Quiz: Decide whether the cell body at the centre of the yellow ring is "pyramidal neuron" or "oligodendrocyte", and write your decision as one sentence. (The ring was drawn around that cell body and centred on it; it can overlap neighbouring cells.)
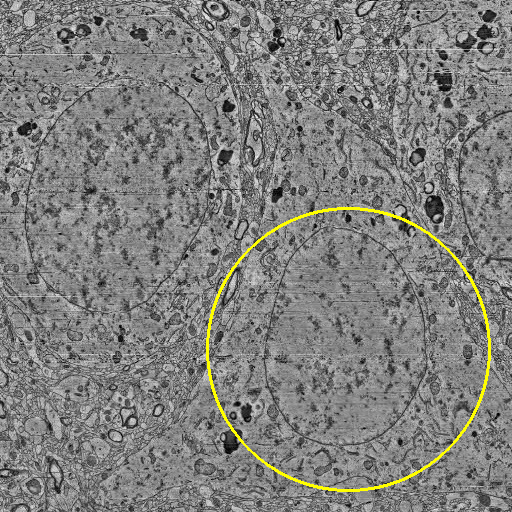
The cell the ring is centred on is a pyramidal neuron.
